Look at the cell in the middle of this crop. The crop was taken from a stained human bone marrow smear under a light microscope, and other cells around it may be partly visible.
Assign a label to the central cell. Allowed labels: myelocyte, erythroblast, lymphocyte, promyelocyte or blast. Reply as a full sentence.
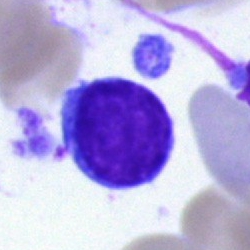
The identification for the central cell is a lymphocyte.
